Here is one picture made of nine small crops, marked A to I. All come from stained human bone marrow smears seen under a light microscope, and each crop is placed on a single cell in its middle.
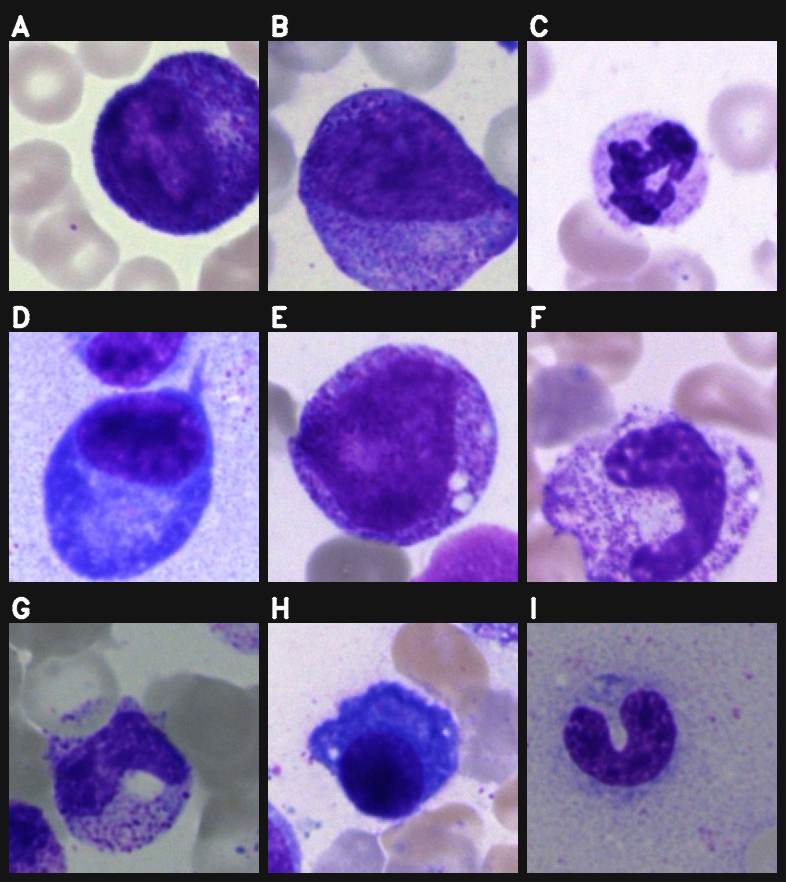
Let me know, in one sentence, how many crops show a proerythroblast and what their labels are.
The count is zero, since none of the crops contains proerythroblasts.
